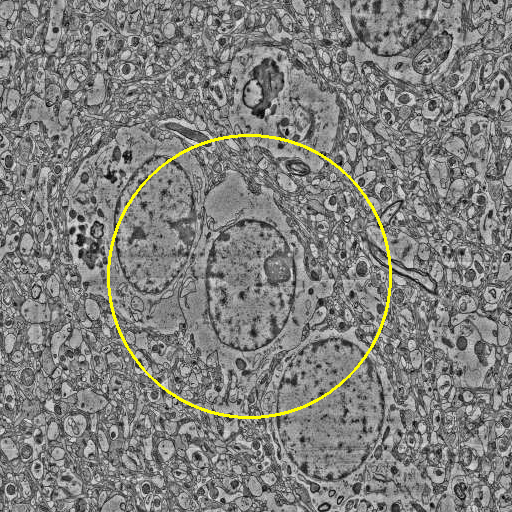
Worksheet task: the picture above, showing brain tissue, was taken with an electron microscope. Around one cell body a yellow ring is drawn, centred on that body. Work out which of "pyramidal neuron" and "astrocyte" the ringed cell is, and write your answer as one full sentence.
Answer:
It is an astrocyte whose cell body lies at the centre of the yellow ring.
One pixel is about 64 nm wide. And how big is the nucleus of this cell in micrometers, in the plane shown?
The nucleus appears roughly 8 by 6 micrometres in this plane.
